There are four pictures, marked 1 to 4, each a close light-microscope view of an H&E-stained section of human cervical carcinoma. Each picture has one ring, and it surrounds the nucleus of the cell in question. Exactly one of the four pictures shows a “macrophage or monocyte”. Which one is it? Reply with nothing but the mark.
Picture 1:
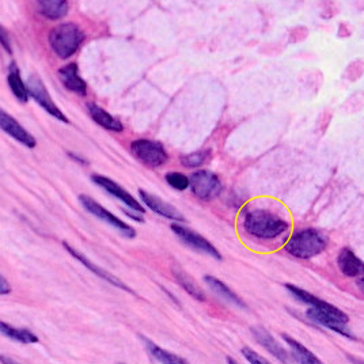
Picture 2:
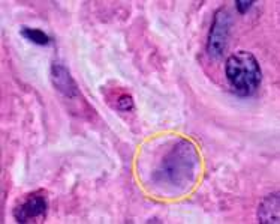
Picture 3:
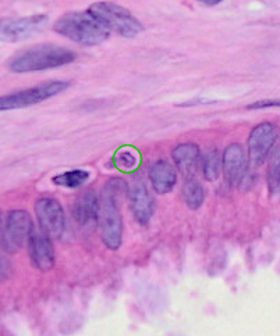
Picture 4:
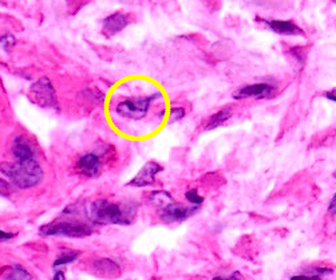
4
